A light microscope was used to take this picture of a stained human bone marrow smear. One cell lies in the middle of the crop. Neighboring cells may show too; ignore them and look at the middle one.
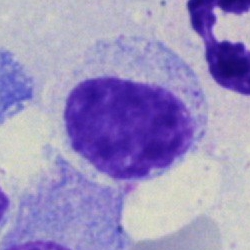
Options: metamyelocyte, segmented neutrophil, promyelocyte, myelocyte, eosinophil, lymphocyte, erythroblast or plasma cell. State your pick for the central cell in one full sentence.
This crop's central cell is a myelocyte.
